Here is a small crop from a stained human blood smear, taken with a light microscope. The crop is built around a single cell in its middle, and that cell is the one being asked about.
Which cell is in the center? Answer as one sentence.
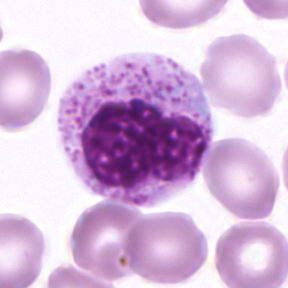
The middle position in this crop is taken by a band neutrophil.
